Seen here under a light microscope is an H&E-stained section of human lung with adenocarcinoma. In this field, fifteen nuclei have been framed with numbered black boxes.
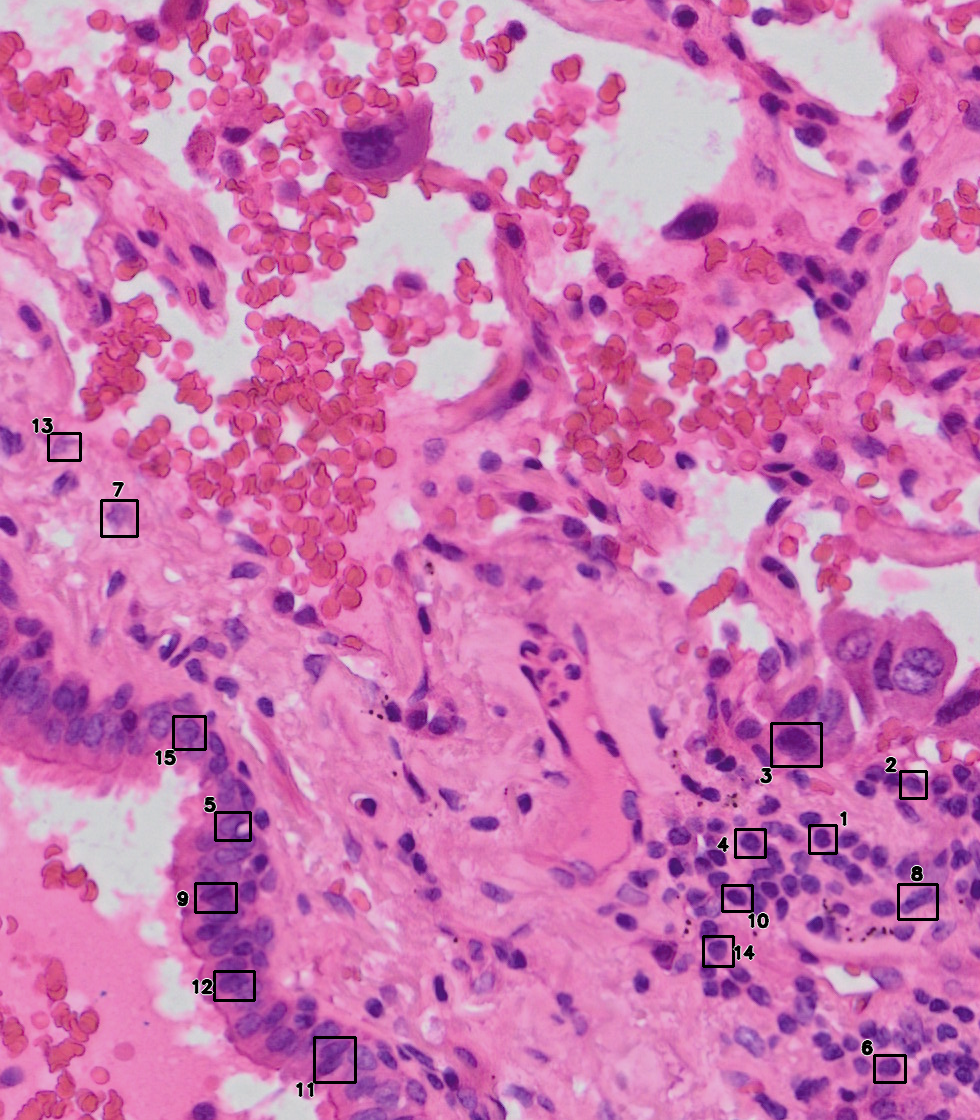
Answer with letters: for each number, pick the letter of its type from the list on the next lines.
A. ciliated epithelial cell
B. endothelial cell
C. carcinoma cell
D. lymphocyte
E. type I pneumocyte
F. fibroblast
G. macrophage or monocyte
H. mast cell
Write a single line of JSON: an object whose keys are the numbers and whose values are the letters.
{"1": "D", "2": "D", "3": "C", "4": "D", "5": "A", "6": "D", "7": "F", "8": "D", "9": "A", "10": "D", "11": "A", "12": "A", "13": "F", "14": "D", "15": "A"}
